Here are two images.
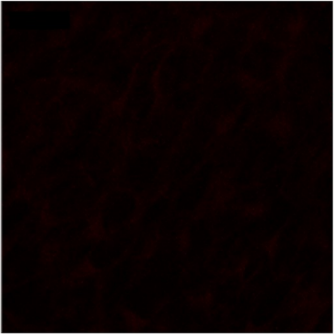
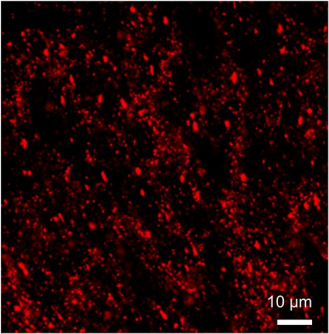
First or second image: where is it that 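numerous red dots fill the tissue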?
The second image.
